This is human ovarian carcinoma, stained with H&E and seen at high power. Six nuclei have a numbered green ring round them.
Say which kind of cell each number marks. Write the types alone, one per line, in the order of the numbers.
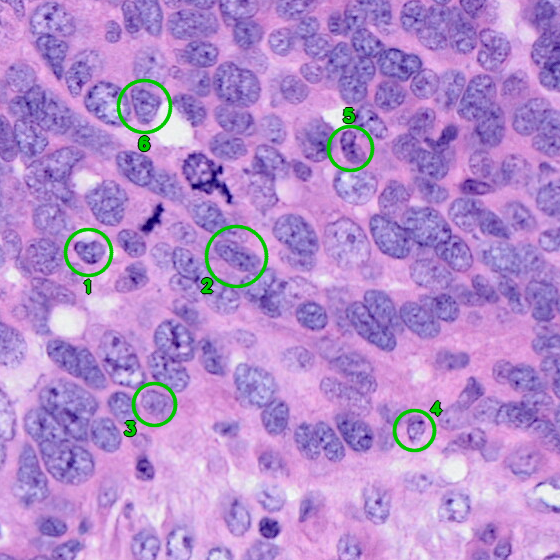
macrophage or monocyte
carcinoma cell
carcinoma cell
macrophage or monocyte
macrophage or monocyte
carcinoma cell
